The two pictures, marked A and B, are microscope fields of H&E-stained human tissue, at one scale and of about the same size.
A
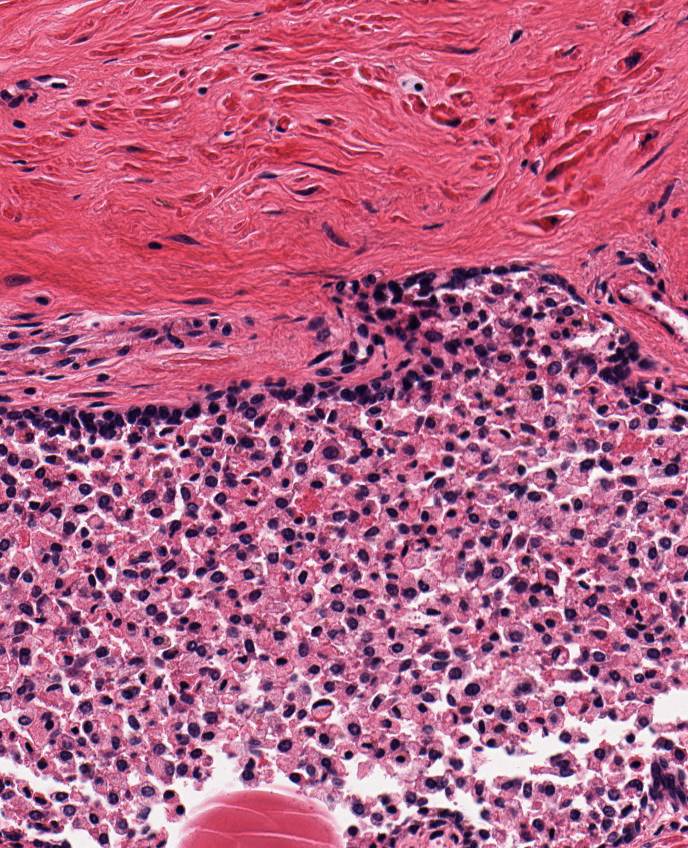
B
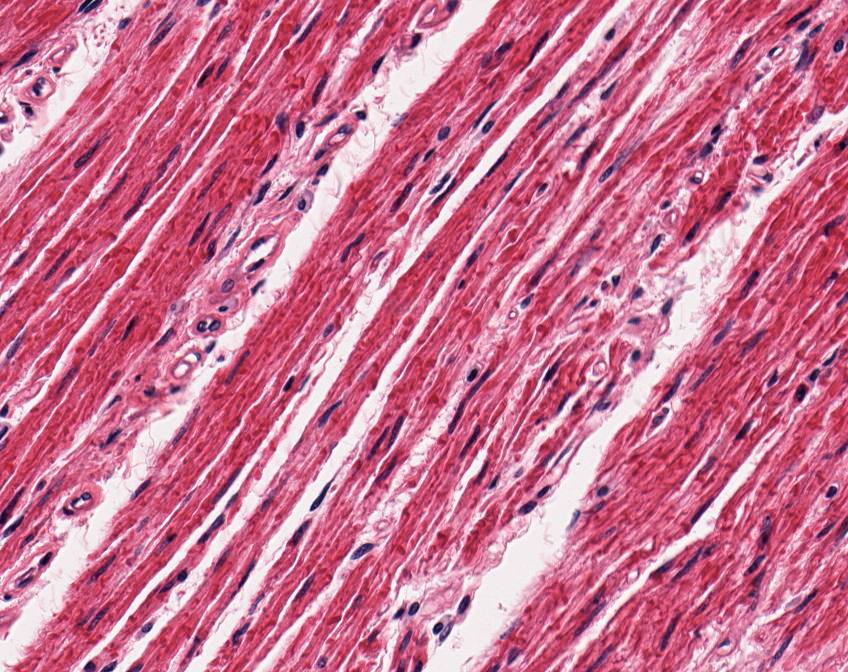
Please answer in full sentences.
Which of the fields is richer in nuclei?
Picture A holds more nuclei than picture B.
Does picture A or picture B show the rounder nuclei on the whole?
On the whole the nuclei of picture A are rounder than those of picture B.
